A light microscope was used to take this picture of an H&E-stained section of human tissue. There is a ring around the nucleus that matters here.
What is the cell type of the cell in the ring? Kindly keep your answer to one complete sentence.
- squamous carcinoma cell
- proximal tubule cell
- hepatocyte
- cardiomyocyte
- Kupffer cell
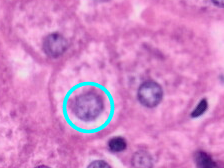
It is as a hepatocyte that the cell in the ring is classified.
